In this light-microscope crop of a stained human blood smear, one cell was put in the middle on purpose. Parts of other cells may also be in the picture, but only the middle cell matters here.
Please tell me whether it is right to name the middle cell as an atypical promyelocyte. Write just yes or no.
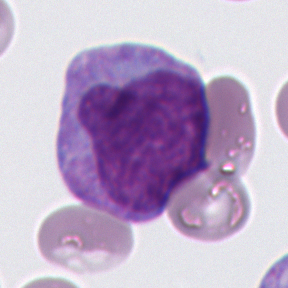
yes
